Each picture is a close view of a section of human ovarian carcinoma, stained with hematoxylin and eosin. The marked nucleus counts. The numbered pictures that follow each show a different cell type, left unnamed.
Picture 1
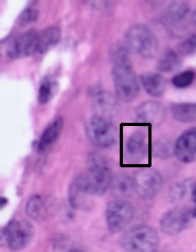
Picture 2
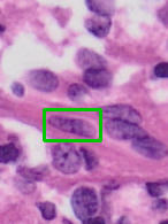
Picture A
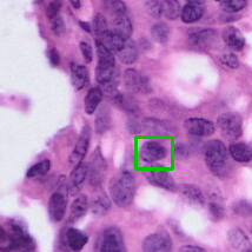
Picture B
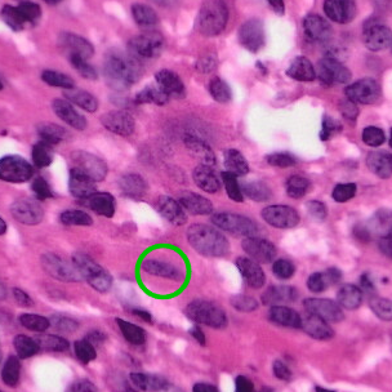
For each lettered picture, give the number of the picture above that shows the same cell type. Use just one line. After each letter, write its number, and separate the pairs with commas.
A 1, B 2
